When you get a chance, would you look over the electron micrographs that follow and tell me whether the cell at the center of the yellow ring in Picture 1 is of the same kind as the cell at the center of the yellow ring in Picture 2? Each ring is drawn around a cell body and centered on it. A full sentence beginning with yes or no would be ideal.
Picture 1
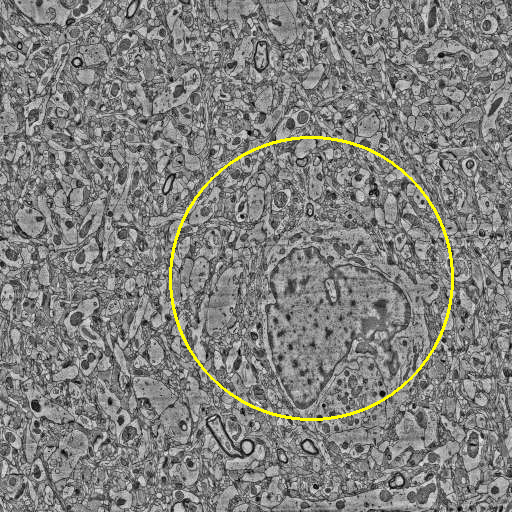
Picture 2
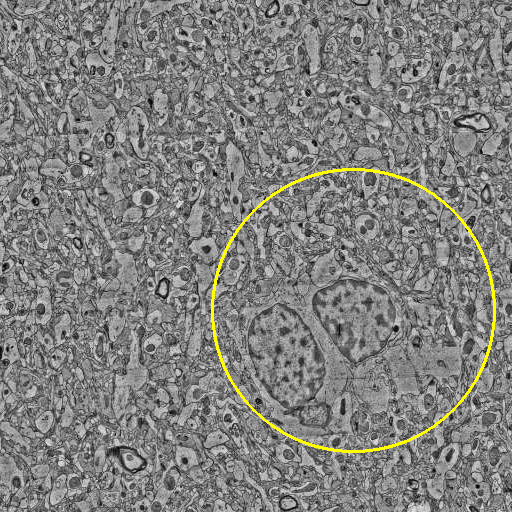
Yes, the two cells are of the same kind.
